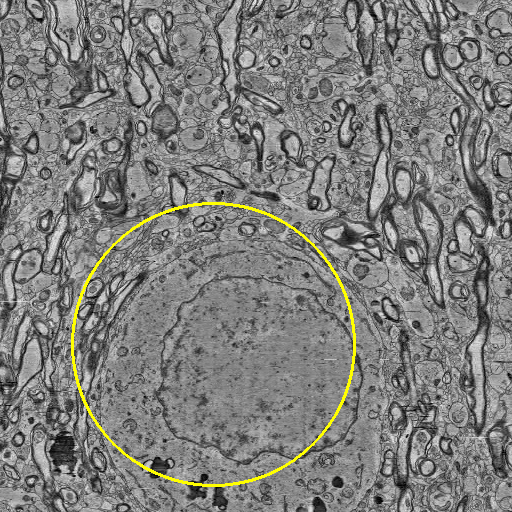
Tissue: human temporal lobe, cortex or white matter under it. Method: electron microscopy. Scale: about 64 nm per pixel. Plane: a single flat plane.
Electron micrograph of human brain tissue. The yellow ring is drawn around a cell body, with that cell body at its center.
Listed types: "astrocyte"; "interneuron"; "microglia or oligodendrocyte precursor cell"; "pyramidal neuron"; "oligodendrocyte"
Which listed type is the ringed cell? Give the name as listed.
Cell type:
pyramidal neuron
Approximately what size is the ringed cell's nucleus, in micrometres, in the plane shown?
In this plane the ringed cell's nucleus is roughly 13 micrometres across.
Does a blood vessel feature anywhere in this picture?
No, there is no blood vessel.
